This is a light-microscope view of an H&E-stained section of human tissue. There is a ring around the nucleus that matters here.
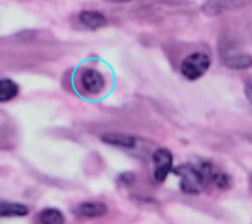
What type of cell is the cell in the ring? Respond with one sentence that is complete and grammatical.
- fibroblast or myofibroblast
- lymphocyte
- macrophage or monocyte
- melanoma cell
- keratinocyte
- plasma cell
In the stained section, the cell in the ring is a plasma cell.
